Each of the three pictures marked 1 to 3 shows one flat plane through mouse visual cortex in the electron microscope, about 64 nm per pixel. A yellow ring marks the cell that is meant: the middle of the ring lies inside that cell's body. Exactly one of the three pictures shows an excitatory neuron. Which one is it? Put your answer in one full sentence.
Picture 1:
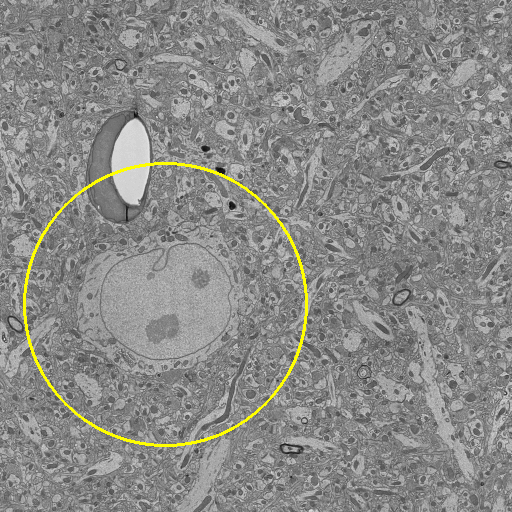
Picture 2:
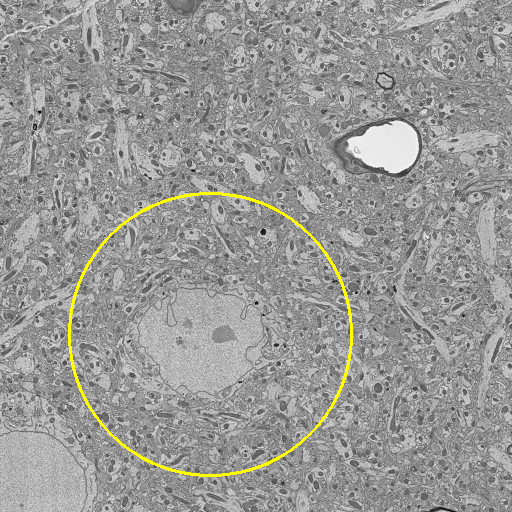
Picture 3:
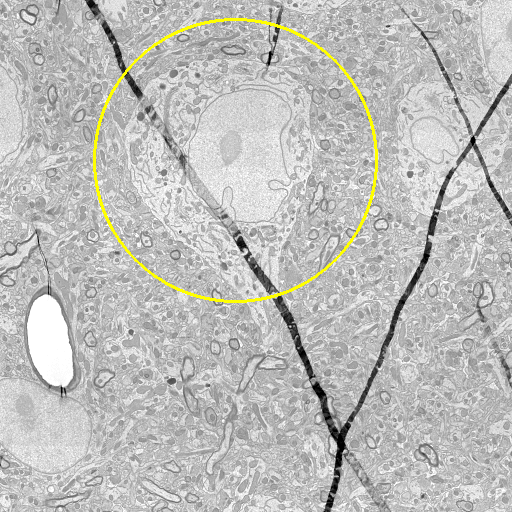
The cell in picture 1 is the excitatory neuron.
